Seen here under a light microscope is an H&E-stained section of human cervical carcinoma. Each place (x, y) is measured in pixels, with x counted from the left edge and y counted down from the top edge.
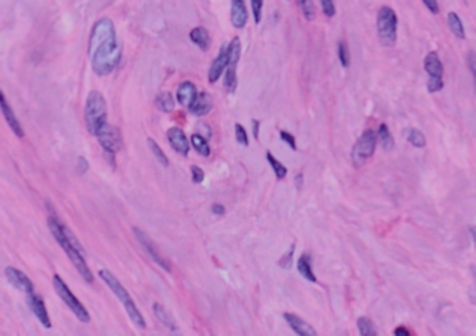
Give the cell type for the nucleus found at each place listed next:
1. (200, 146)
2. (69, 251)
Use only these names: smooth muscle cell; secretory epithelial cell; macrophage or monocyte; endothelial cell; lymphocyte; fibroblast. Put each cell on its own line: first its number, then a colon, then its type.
1: endothelial cell
2: fibroblast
